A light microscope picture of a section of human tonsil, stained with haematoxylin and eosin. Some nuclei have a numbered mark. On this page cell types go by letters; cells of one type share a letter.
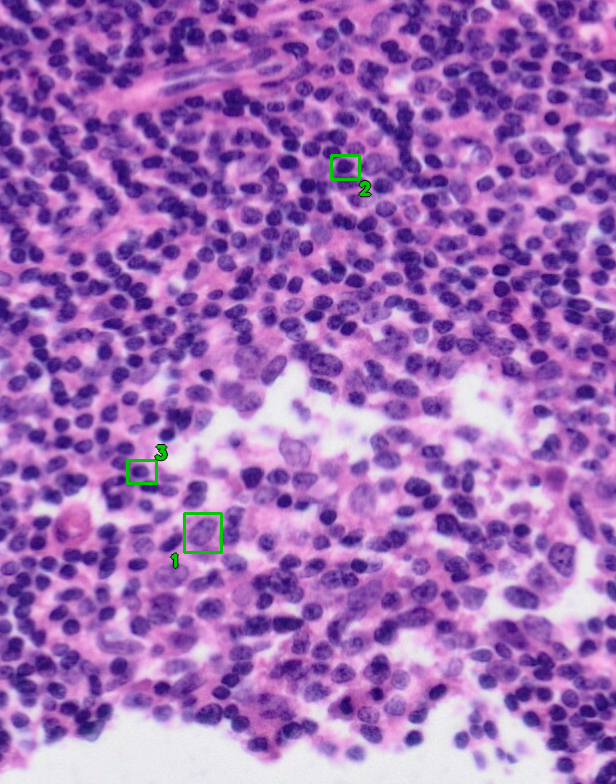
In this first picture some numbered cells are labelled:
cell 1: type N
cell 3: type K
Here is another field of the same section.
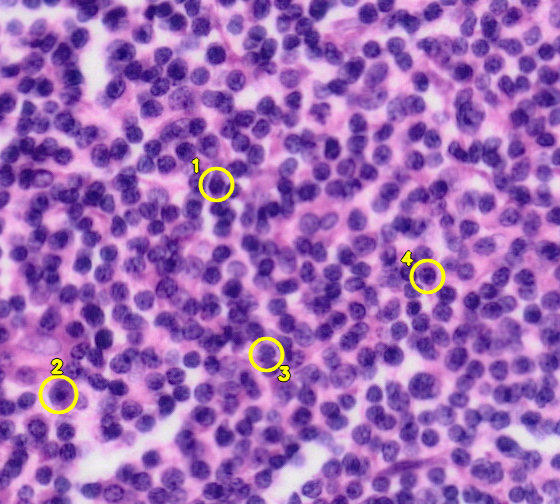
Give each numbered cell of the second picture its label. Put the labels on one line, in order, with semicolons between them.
type K; type N; type K; type K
